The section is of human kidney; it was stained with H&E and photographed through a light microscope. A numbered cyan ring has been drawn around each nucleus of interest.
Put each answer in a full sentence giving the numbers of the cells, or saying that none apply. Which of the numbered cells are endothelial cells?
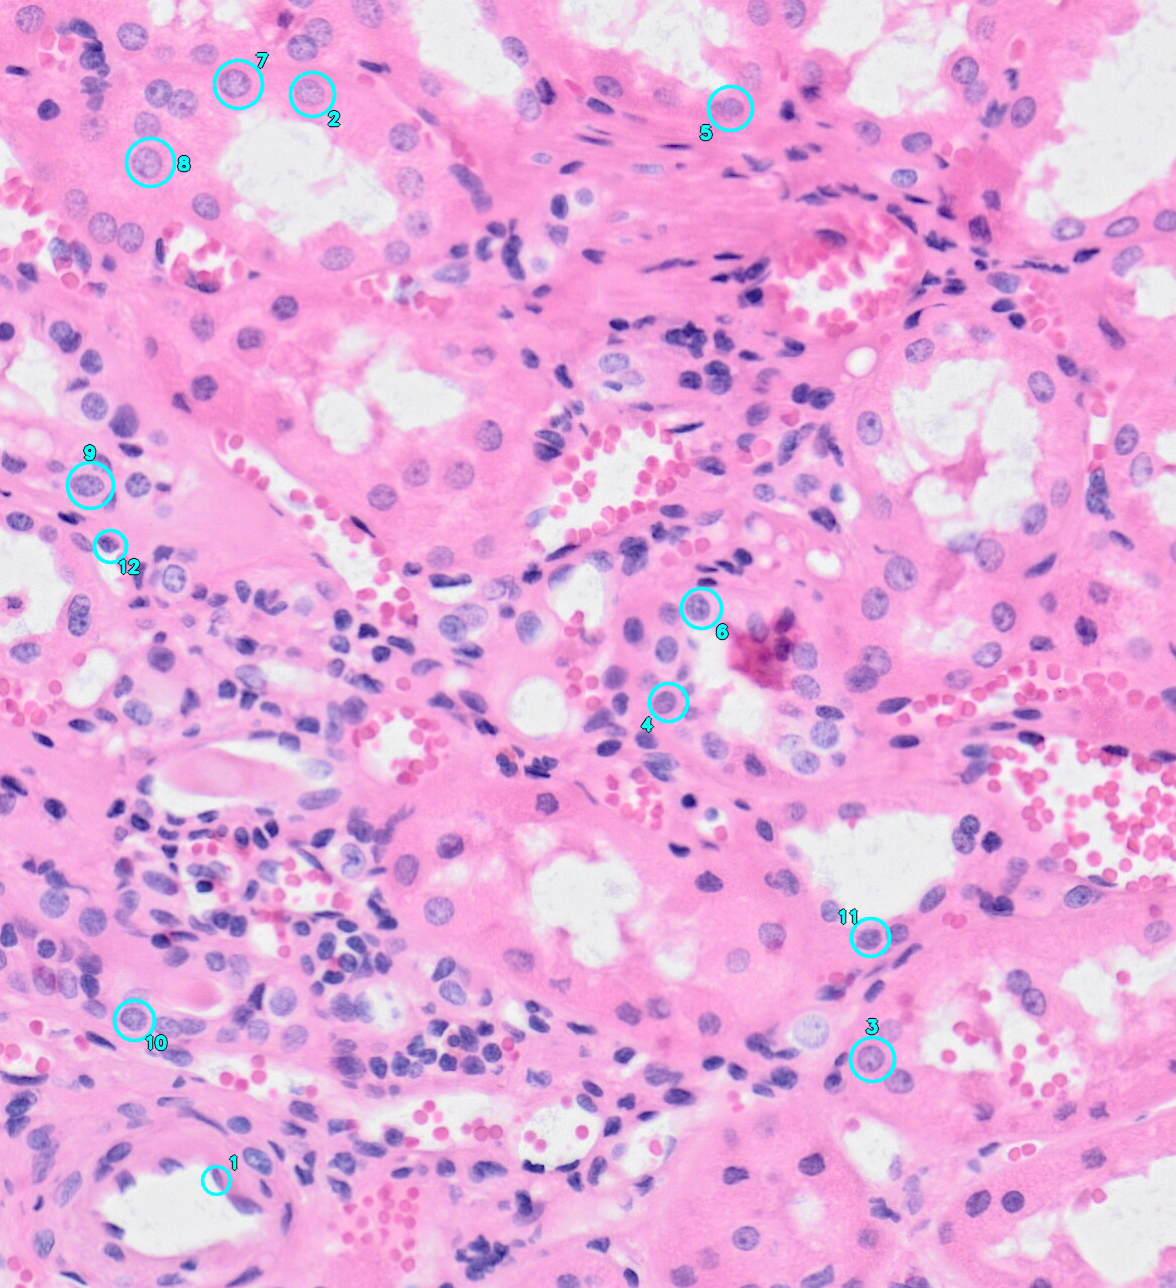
The cells that have been numbered 1 and 12 are endothelial cells.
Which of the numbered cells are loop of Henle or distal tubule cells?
Only number 11 is a loop of Henle or distal tubule cell; none of the others are.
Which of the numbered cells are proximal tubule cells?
The cells marked with the numbers 2, 3, 5, 7 and 8 are proximal tubule cells.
